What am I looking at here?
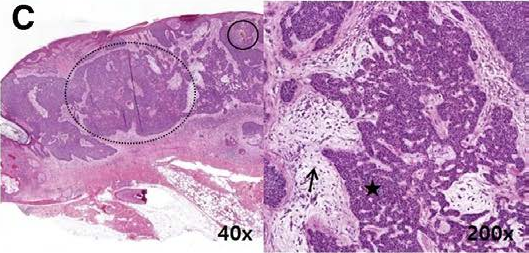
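This is skin with a basal-cell carcinoma: large nests of basaloid cells fill the dermis beneath the surface. At low power the tumour forms a broad, dark blue-purple mass made of confluent nests. At higher power the nests consist of crowded cells with dark, hyperchromatic nuclei and scant cytoplasm. The nests are separated by pale, loose, myxoid-looking stroma.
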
